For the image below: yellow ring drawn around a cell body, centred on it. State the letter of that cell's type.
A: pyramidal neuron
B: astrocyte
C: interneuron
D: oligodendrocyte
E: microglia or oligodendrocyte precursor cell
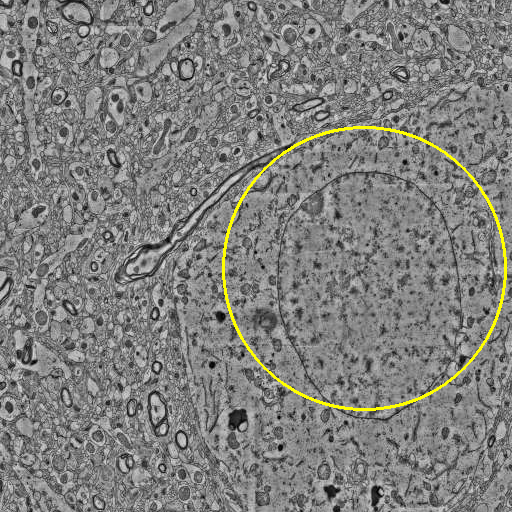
A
